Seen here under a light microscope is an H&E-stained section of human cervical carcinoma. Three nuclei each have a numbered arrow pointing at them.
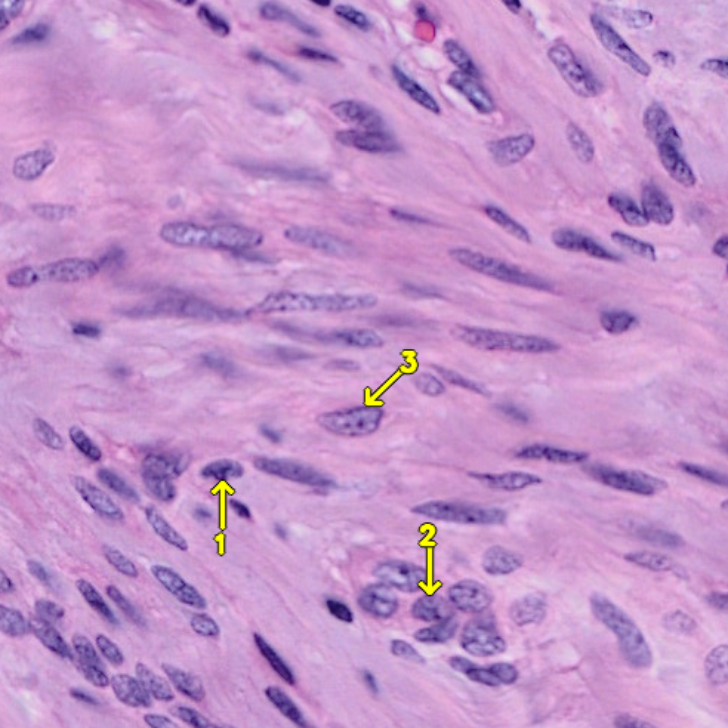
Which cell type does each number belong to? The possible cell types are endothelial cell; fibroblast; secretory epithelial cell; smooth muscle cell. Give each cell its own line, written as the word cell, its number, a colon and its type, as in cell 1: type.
cell 1: fibroblast
cell 2: endothelial cell
cell 3: smooth muscle cell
